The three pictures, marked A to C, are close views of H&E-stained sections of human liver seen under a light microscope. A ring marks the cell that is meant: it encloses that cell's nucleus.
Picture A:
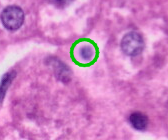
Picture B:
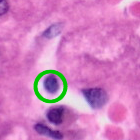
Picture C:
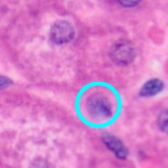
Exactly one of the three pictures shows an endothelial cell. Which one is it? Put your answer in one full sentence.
It is picture C that shows the endothelial cell.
